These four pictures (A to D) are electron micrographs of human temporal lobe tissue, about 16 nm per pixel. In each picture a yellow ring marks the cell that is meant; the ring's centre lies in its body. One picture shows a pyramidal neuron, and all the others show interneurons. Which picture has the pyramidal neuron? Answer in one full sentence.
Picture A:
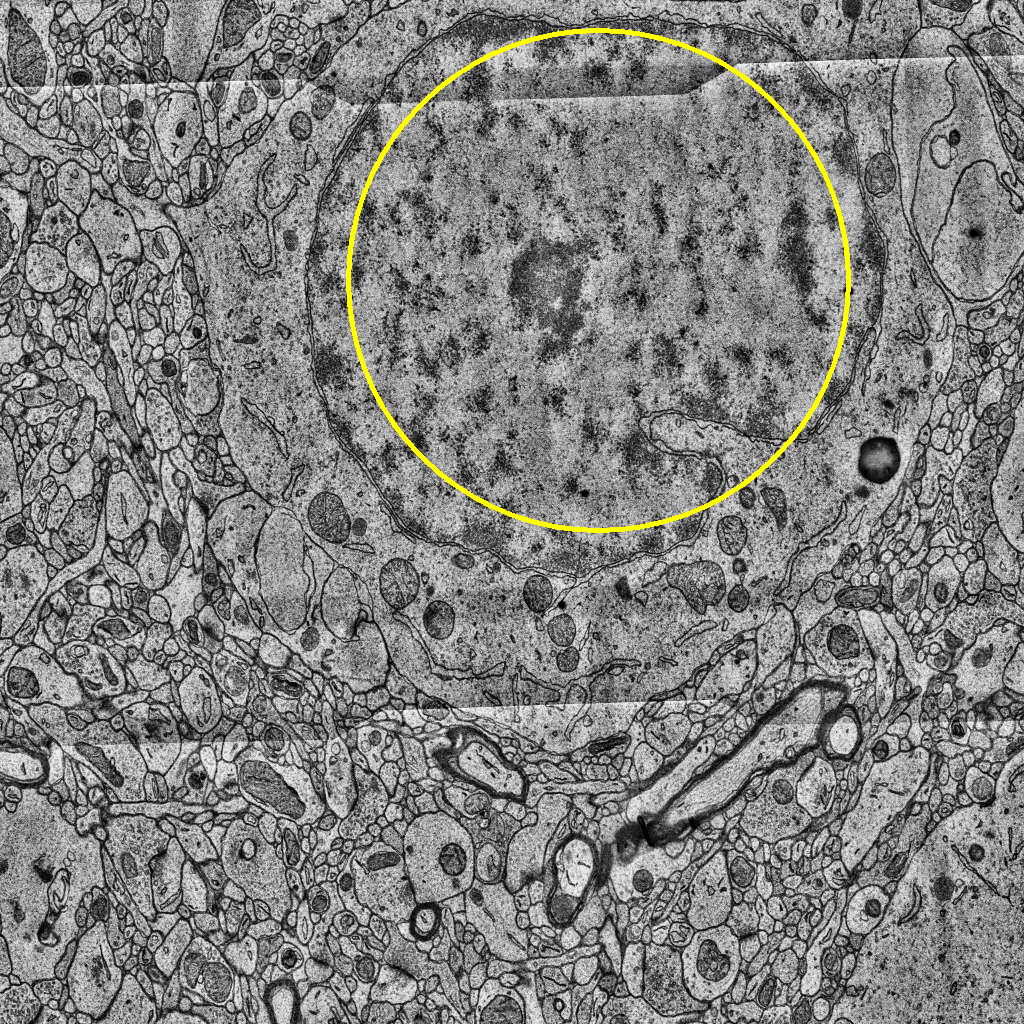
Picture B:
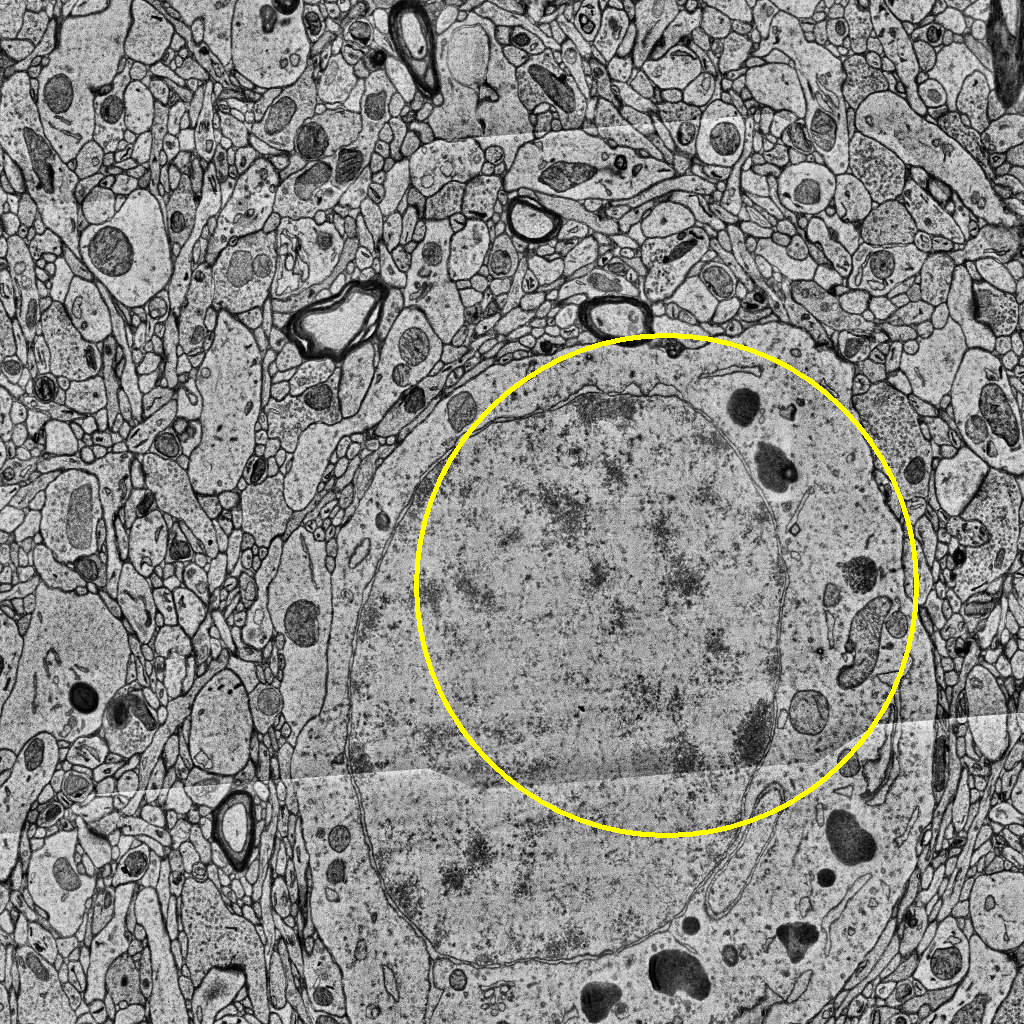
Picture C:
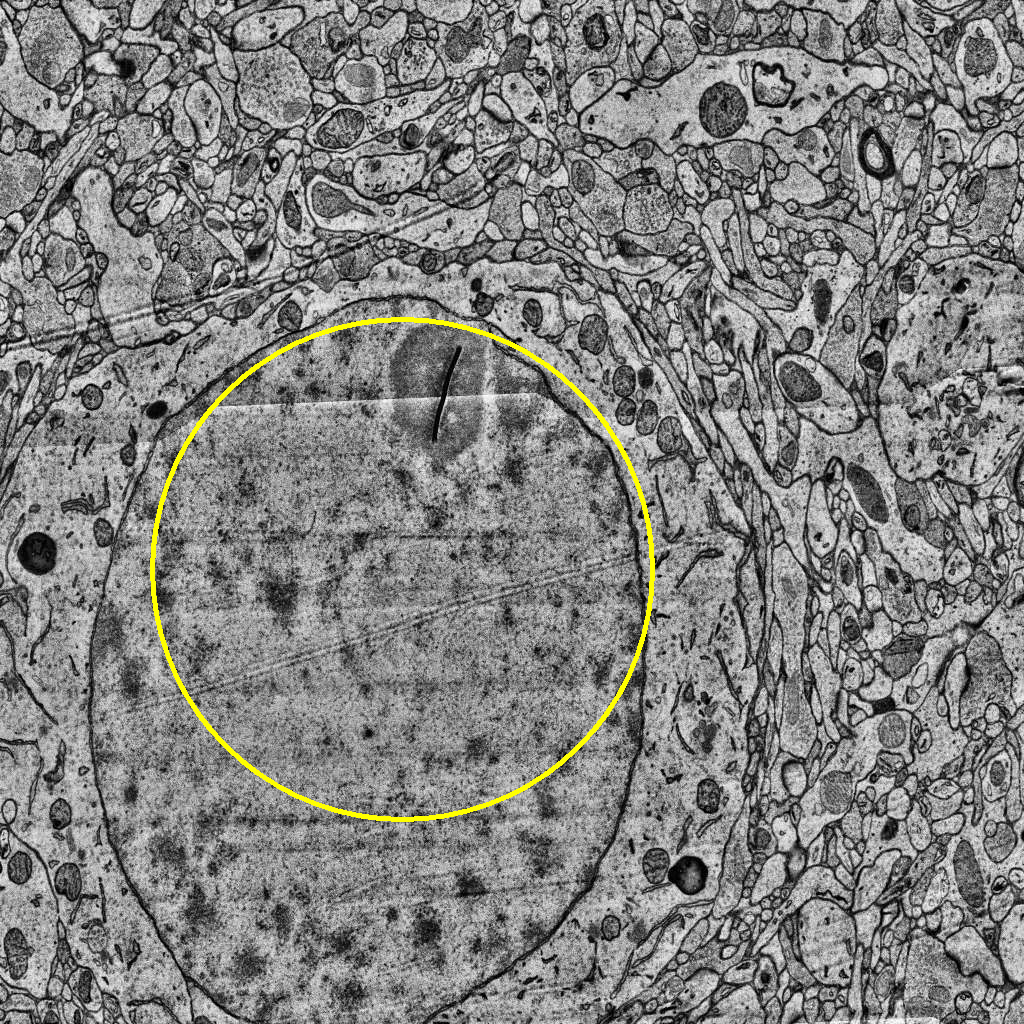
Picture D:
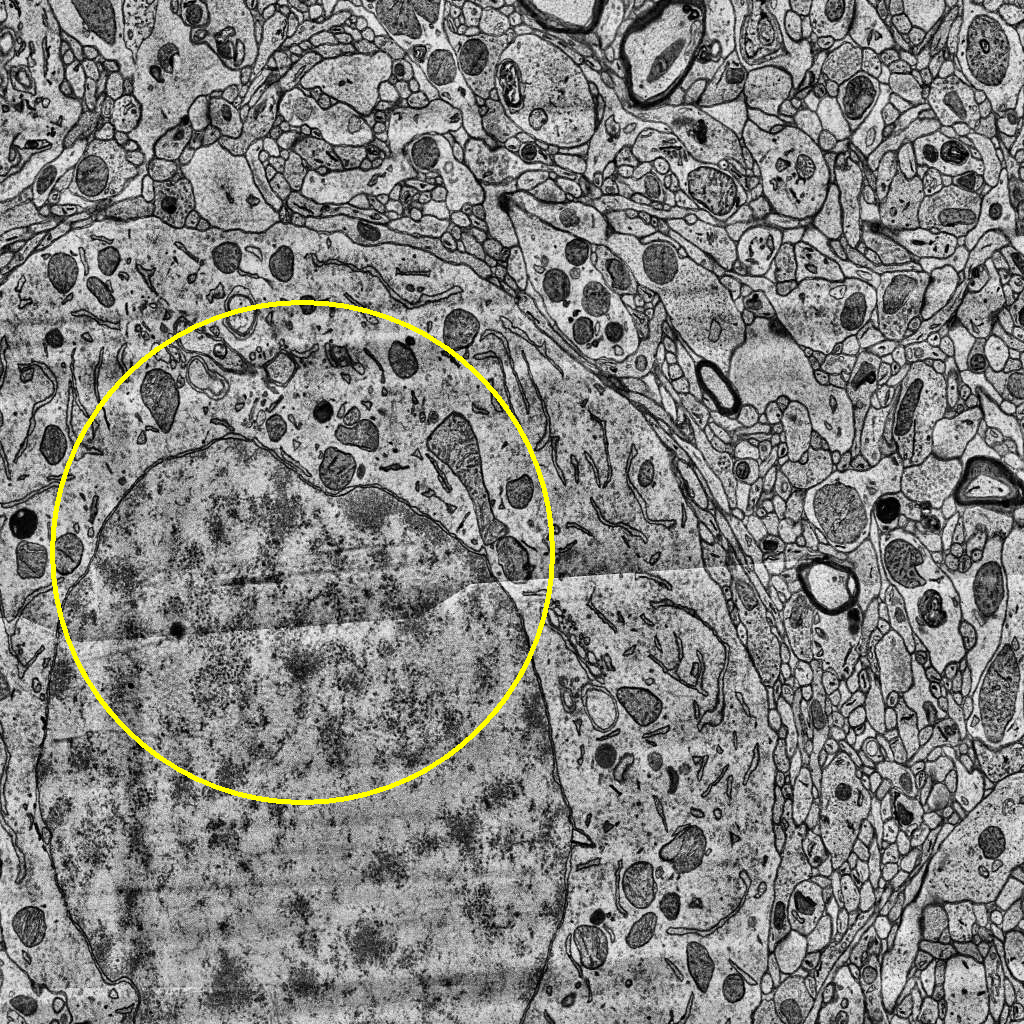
It is picture C that shows the pyramidal neuron.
